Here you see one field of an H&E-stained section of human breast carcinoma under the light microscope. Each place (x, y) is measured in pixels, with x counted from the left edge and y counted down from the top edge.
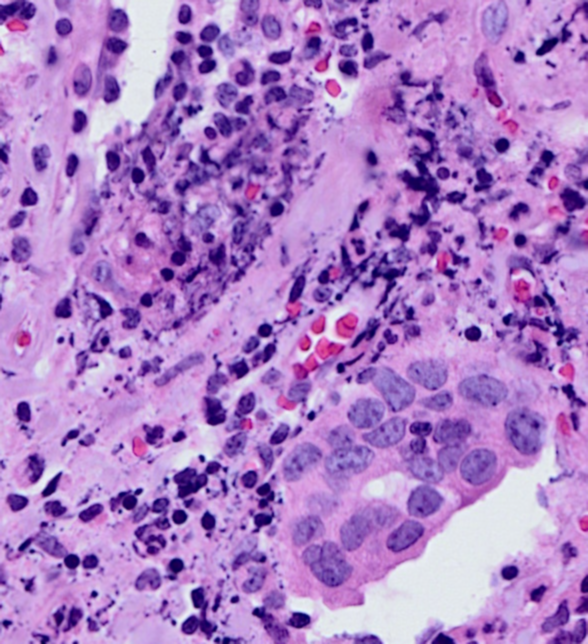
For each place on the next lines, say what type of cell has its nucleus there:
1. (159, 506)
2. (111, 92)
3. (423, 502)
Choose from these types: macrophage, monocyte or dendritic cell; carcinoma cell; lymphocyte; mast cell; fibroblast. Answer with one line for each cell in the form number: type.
1: lymphocyte
2: lymphocyte
3: carcinoma cell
